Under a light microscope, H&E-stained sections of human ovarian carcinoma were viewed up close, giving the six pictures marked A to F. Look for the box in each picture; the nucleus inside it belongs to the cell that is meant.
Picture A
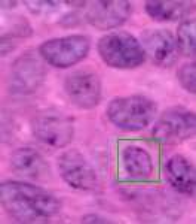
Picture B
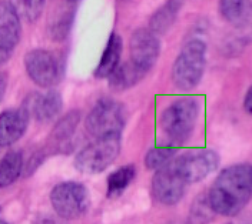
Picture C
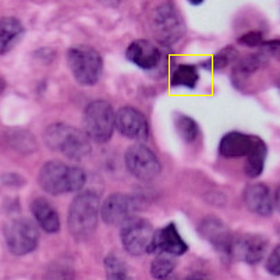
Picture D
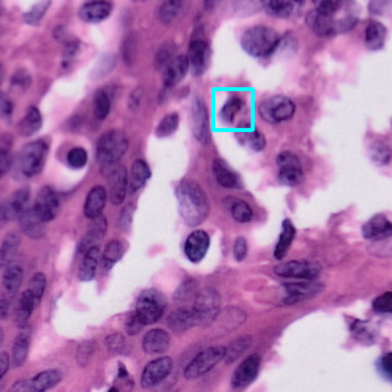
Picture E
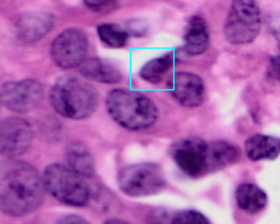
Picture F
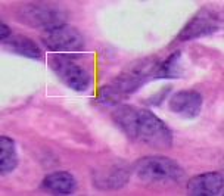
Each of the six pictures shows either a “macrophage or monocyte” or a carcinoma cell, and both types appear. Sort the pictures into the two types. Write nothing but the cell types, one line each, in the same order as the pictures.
macrophage or monocyte
carcinoma cell
carcinoma cell
macrophage or monocyte
carcinoma cell
carcinoma cell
